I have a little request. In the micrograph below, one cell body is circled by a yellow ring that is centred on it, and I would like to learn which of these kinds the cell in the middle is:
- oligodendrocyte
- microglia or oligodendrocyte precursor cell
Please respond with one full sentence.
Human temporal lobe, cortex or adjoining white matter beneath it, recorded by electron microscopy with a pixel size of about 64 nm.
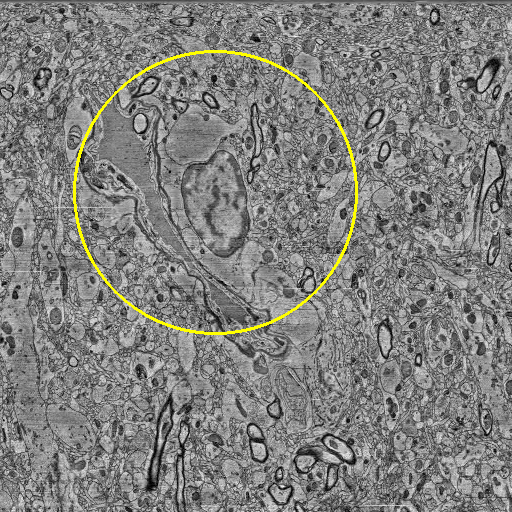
The cell sitting in the middle of the yellow ring in the micrograph is a microglial cell or oligodendrocyte precursor cell.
